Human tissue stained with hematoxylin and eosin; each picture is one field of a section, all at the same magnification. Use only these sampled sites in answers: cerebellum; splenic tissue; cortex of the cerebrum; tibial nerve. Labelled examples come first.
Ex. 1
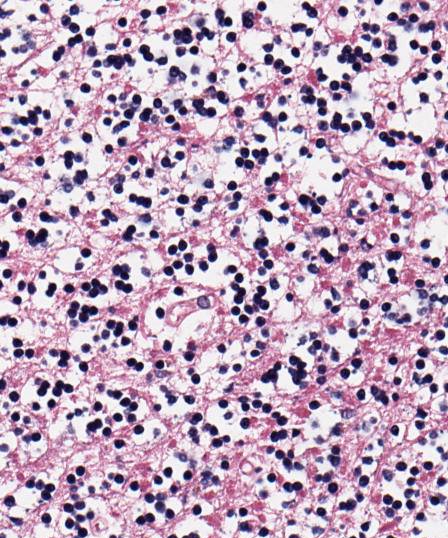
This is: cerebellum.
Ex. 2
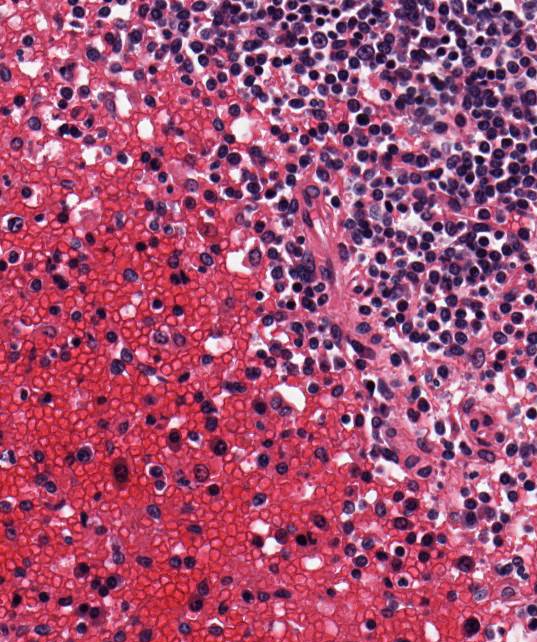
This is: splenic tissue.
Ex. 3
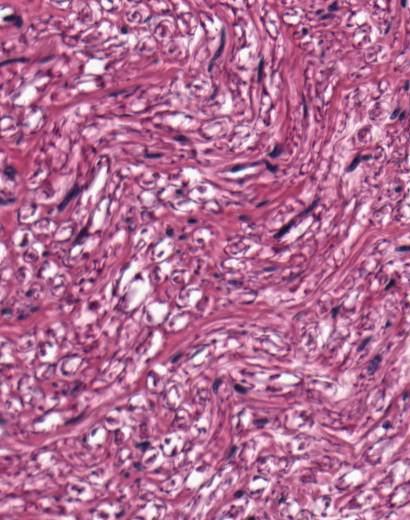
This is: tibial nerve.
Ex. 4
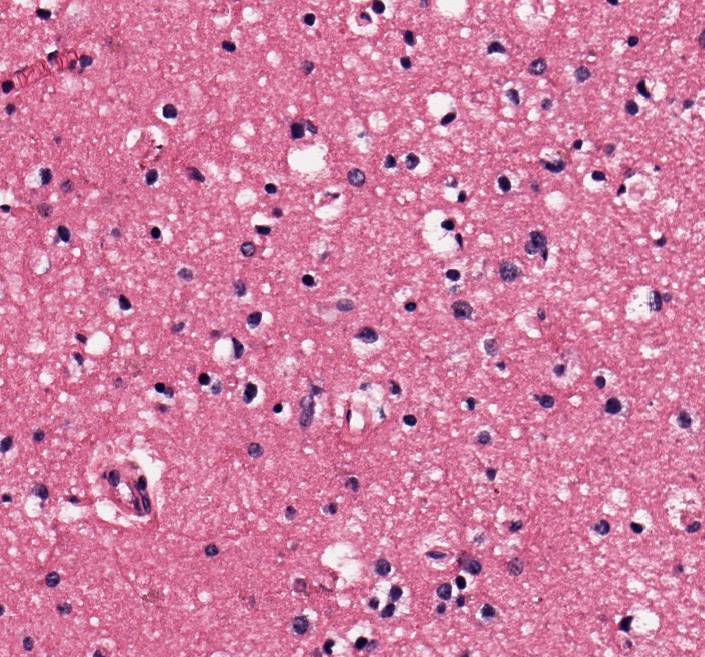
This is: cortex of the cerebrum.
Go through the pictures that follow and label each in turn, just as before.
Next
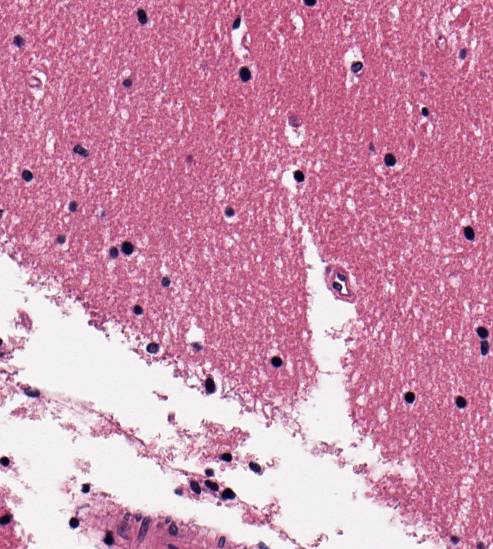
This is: cerebellum.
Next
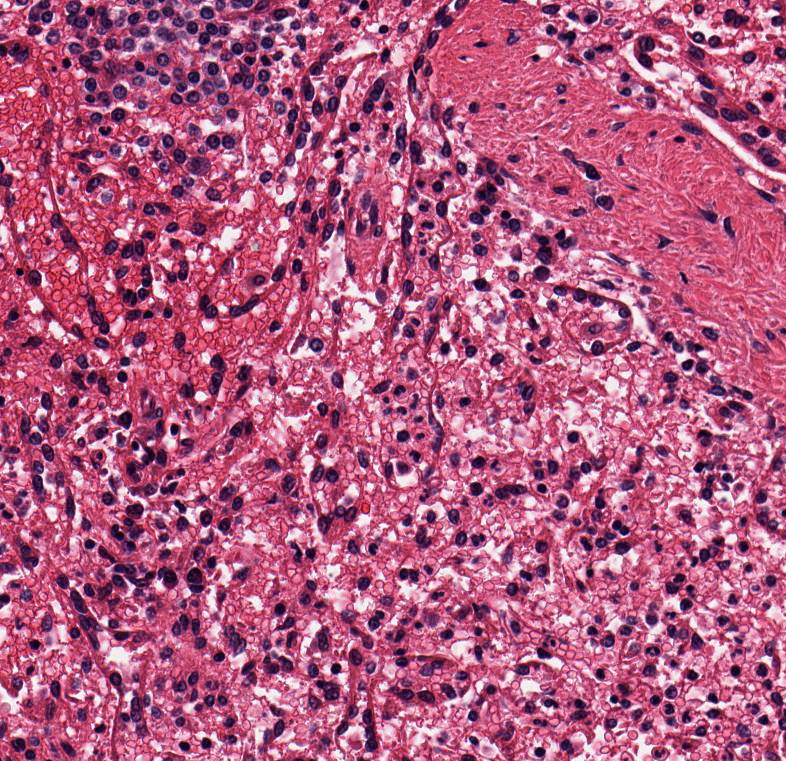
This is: splenic tissue.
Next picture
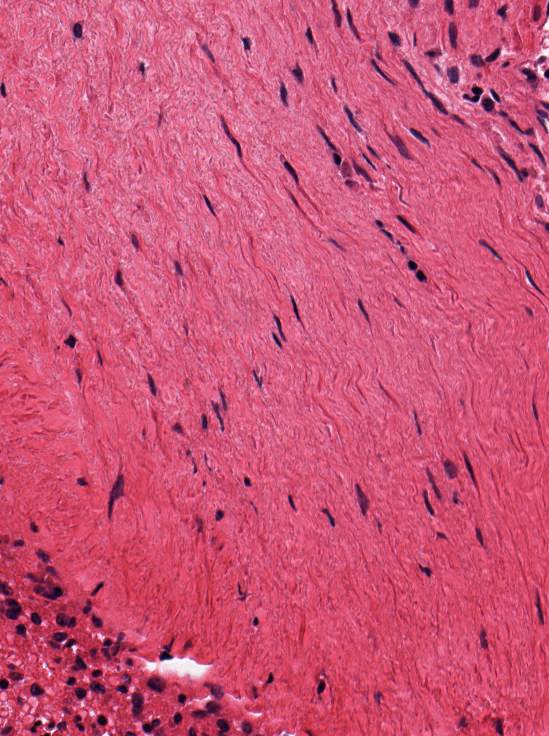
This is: splenic tissue.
